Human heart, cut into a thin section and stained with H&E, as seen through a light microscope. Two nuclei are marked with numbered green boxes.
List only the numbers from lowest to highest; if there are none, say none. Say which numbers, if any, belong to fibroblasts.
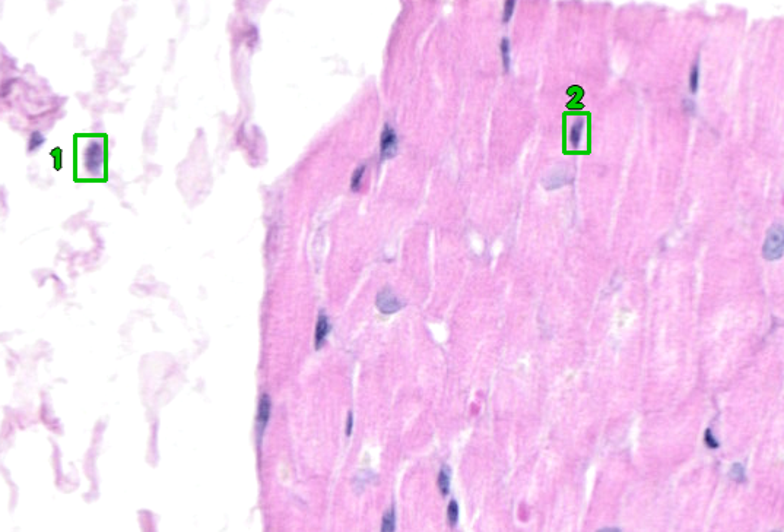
1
